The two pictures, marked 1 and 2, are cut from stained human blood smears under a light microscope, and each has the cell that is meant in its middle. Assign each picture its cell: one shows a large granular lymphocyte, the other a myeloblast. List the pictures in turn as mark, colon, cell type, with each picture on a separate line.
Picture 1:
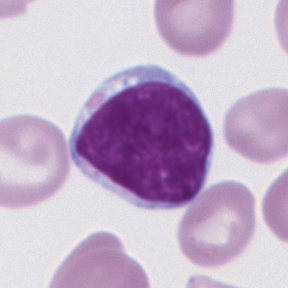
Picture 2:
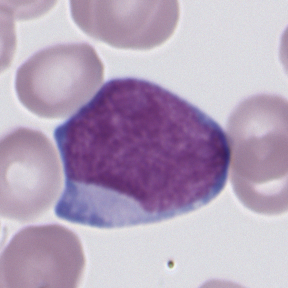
1: large granular lymphocyte
2: myeloblast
